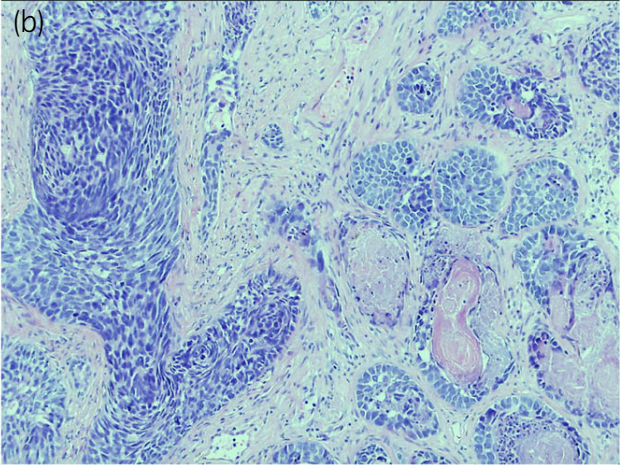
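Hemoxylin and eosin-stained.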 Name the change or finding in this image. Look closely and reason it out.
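Palisading pattern. Nuclei at the periphery of the nests are aligned side by side perpendicular to the edge. Nests of crowded basaloid cells with scant cytoplasm.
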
